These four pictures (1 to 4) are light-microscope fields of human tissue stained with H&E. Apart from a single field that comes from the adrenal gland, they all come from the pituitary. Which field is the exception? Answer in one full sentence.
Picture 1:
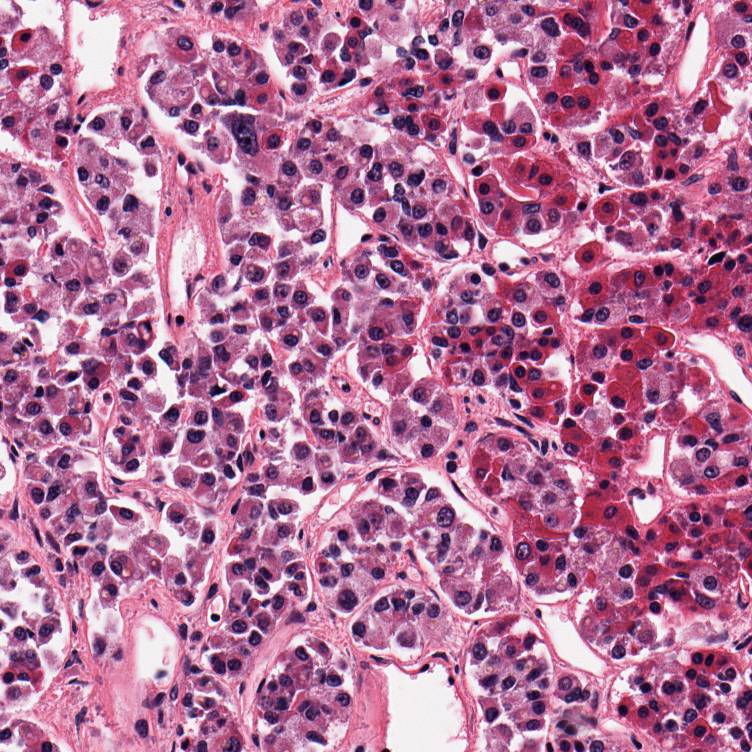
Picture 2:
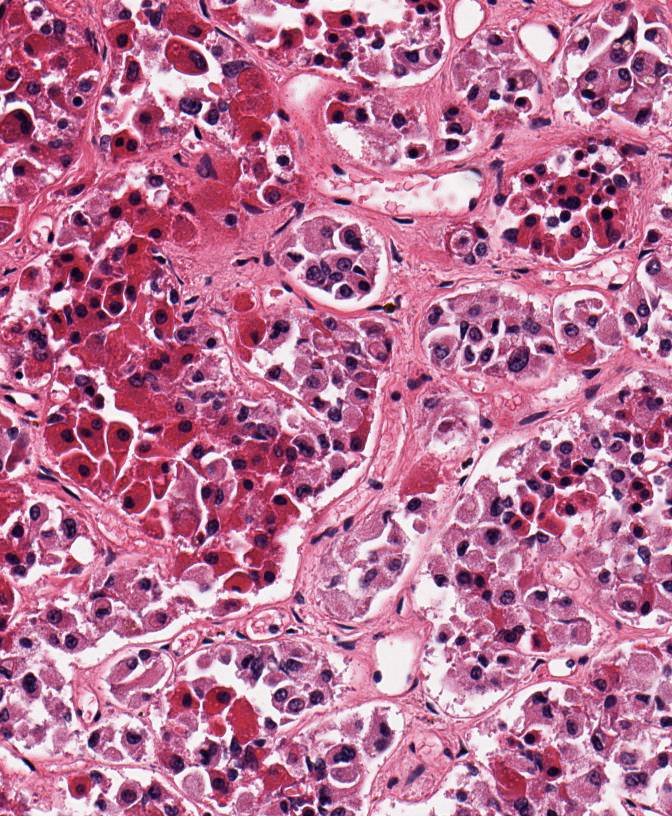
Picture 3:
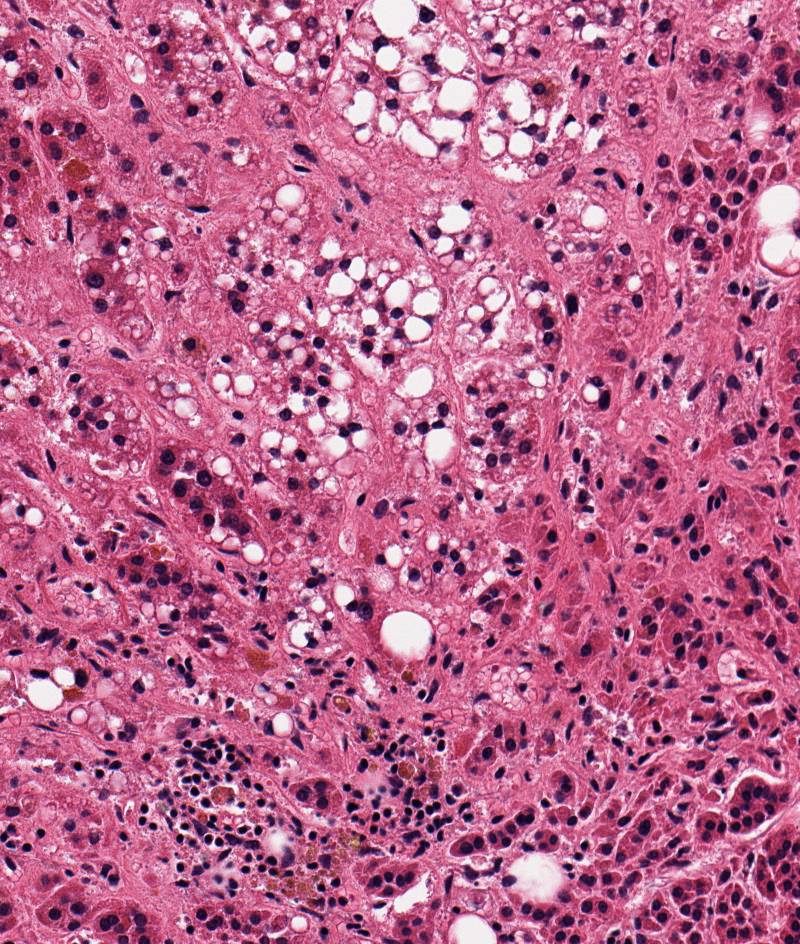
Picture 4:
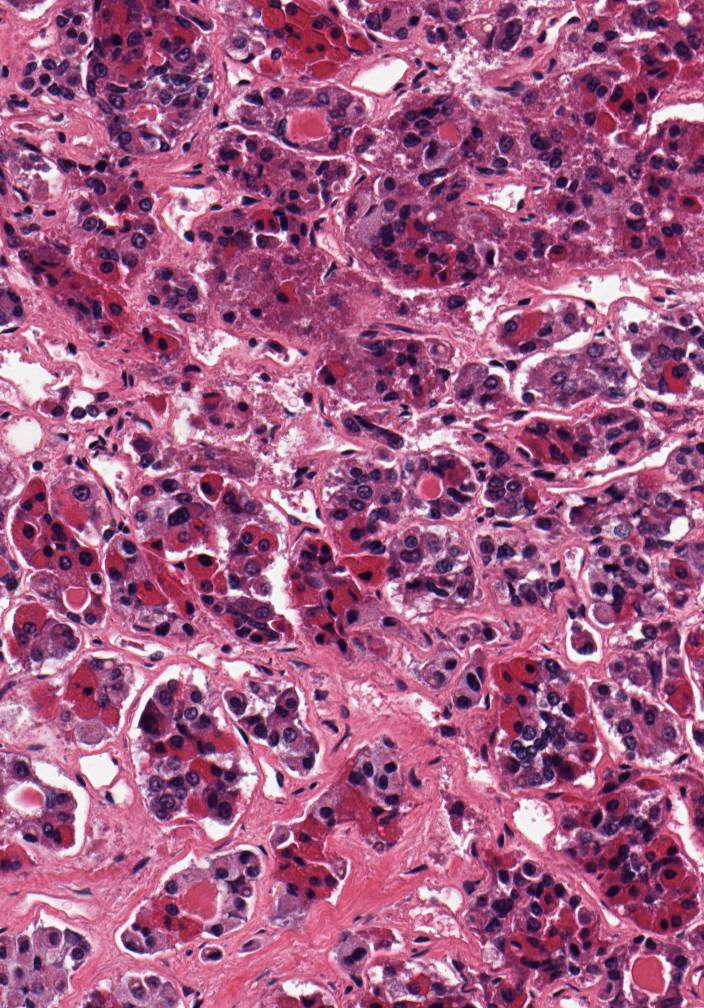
The one that comes from the adrenal gland is picture 3.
